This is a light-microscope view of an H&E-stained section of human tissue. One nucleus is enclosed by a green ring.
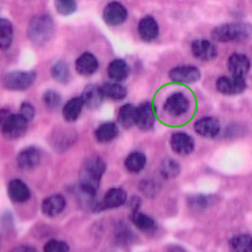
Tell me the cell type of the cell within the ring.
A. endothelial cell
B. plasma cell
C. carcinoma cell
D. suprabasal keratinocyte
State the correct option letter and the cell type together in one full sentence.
The right pick is option B; the cell within the ring is a plasma cell.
